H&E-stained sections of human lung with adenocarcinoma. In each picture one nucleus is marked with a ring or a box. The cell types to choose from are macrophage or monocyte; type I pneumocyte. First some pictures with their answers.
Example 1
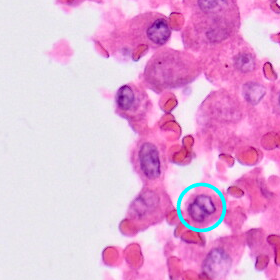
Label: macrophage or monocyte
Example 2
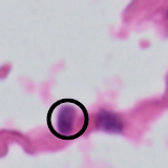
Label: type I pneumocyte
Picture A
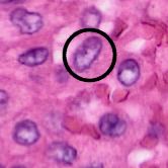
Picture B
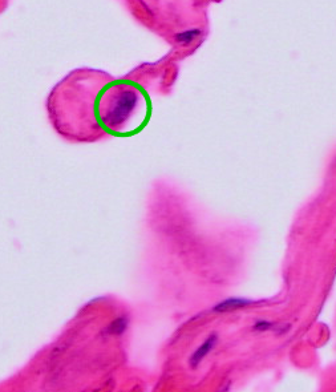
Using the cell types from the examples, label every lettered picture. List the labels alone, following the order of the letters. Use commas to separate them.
macrophage or monocyte, type I pneumocyte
